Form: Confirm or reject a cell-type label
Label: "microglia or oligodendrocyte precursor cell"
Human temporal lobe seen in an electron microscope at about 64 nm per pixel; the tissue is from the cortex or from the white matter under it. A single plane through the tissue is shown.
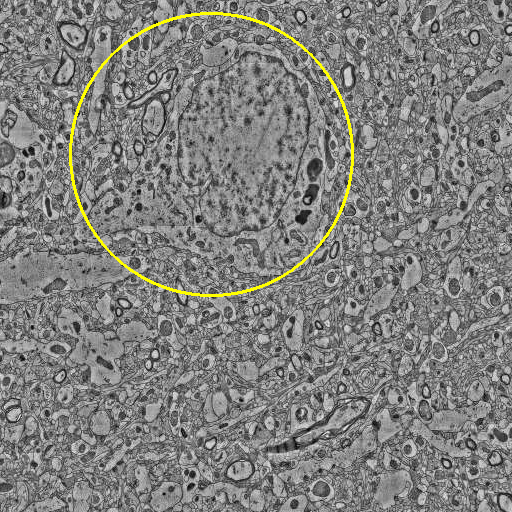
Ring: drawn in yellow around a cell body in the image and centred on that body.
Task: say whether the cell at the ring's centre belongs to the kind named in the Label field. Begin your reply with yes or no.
No, it belongs to another kind.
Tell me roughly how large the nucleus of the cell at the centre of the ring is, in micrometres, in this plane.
Approximately 10 by 8 micrometers in this plane.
